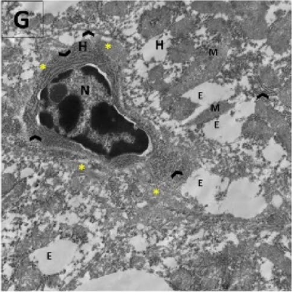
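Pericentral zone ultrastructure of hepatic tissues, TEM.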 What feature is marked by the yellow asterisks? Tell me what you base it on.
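Layered fibrillar material wraps concentrically around the central cell. Asterisks lie on this encircling band.
Fibrous filaments.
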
